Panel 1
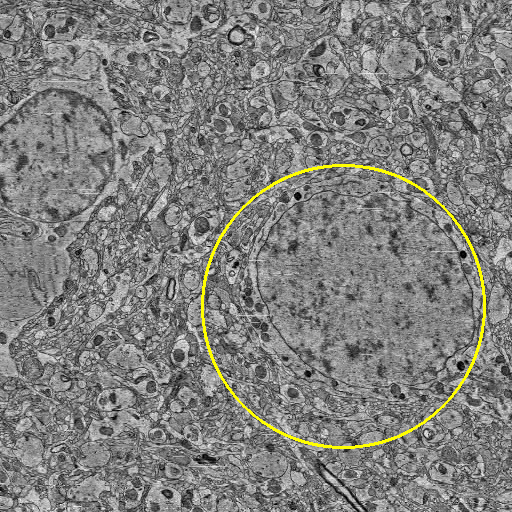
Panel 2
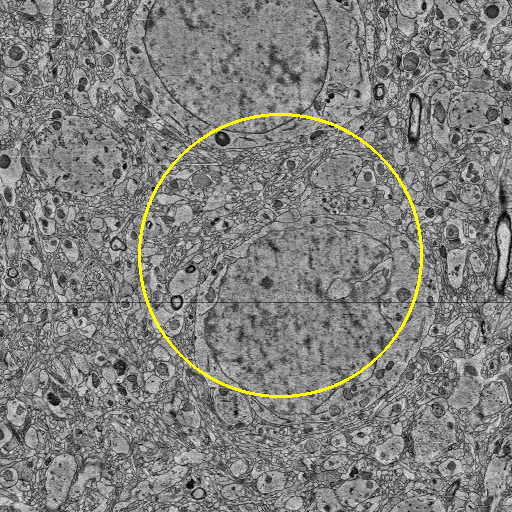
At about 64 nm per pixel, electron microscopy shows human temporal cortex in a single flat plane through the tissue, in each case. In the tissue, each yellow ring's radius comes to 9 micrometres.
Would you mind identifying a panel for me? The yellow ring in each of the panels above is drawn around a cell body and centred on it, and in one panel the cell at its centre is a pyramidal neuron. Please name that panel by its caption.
Panel 1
